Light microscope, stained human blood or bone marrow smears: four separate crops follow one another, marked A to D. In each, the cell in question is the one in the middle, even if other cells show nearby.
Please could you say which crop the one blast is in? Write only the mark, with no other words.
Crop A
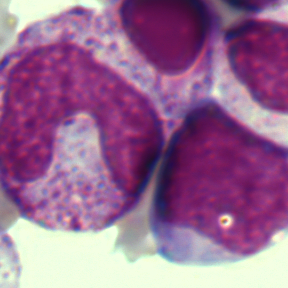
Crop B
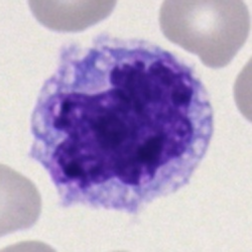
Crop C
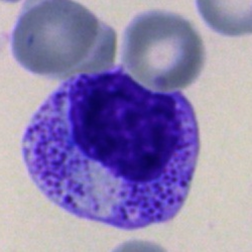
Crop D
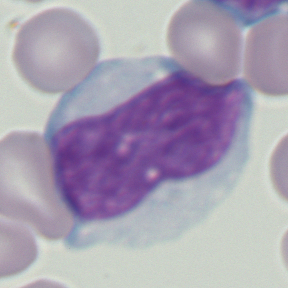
D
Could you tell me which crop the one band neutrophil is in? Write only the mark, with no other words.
A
